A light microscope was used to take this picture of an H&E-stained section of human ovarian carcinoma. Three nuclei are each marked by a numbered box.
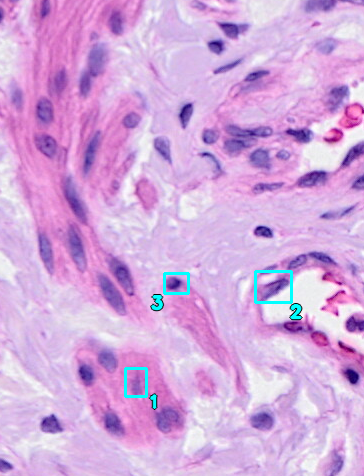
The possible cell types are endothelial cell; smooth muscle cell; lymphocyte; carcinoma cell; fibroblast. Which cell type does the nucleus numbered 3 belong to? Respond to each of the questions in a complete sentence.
The marked cell with the number 3 is recognised as a smooth muscle cell.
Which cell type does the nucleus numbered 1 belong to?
Among the marked nuclei, number 1 belongs to a smooth muscle cell.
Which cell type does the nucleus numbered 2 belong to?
The numeral 2 marks an endothelial cell in this section.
